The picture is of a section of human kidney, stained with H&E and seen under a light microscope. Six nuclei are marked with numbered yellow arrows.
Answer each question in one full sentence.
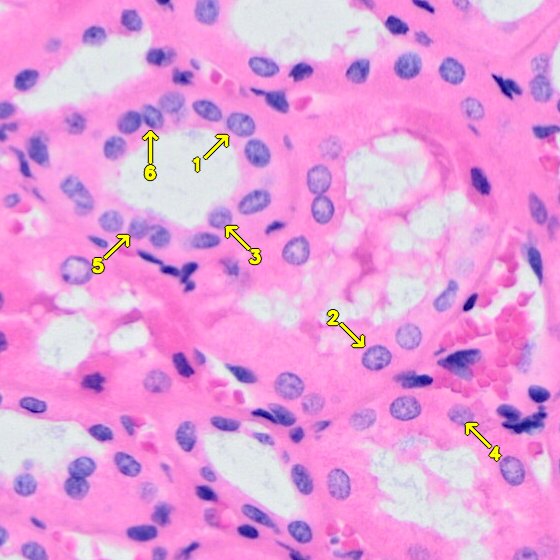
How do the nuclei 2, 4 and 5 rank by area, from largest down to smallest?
By area, largest first, they run 2, 4, 5.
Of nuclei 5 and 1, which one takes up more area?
It is nucleus 1, which covers about 2 times the area of nucleus 5.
